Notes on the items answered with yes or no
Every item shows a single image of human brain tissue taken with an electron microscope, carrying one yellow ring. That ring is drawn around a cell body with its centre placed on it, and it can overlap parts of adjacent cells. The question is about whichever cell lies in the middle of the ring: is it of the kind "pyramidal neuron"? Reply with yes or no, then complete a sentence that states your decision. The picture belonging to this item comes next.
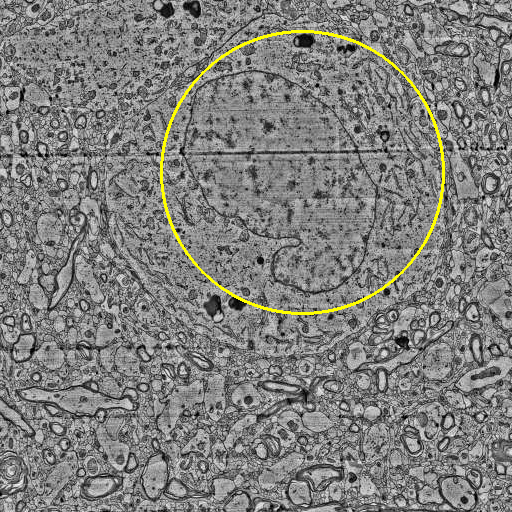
Yes, this micrograph shows a cell of that kind in the middle of the ring.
